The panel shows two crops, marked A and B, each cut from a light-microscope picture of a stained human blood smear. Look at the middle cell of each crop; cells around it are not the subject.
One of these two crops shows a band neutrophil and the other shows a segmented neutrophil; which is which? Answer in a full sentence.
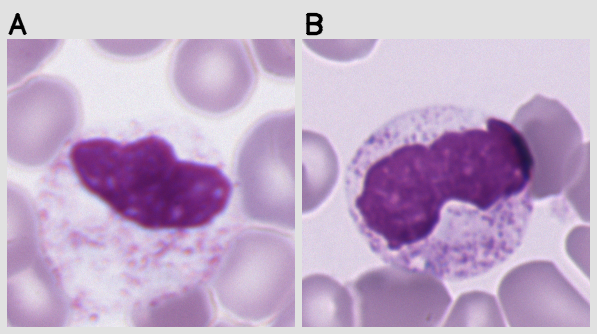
Displayed in crop A is a segmented neutrophil, while crop B displays a band neutrophil.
